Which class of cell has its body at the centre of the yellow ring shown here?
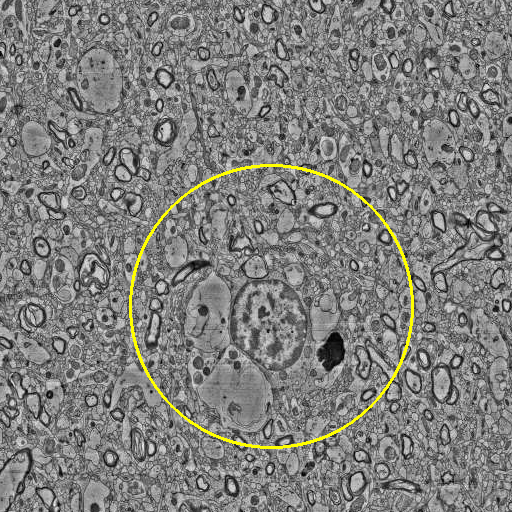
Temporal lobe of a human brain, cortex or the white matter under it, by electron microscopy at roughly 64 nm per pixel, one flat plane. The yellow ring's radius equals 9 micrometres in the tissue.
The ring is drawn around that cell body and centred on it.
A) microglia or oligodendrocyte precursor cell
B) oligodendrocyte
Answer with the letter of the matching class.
B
